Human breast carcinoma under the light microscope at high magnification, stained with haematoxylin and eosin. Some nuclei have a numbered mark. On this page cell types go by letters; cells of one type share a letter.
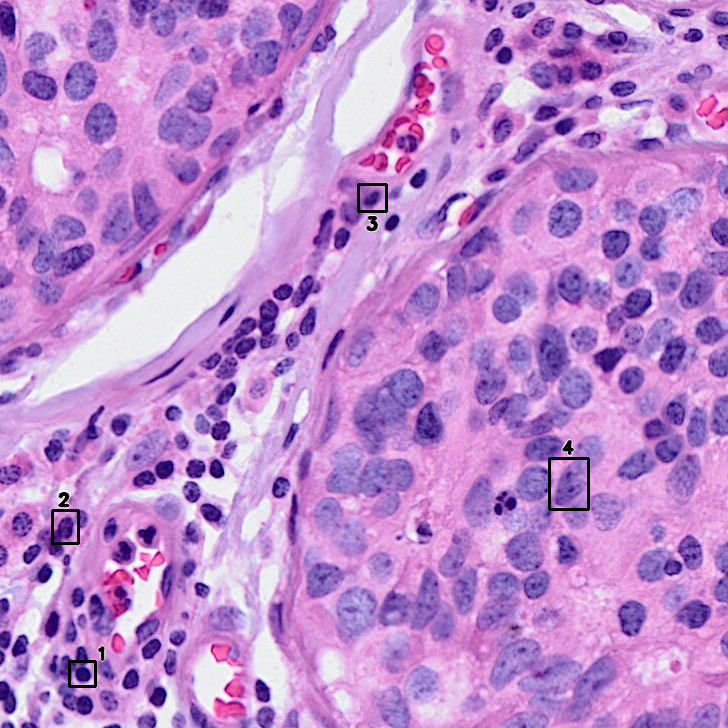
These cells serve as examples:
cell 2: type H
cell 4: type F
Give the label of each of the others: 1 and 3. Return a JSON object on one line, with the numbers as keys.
{"1": "type H", "3": "type H"}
